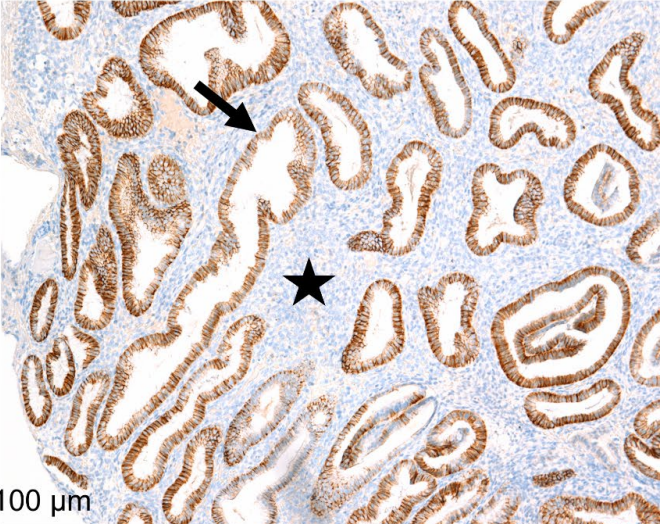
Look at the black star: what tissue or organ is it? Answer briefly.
Stroma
